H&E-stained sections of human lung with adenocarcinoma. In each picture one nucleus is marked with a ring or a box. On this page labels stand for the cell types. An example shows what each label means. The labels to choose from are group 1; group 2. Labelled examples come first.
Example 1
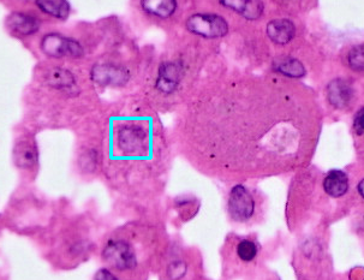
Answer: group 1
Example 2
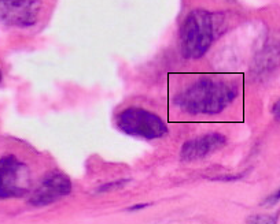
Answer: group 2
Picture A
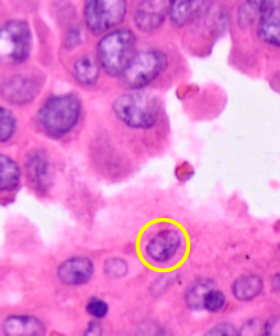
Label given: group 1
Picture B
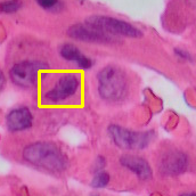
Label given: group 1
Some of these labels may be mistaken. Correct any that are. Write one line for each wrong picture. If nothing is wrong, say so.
None of the labels needs changing.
